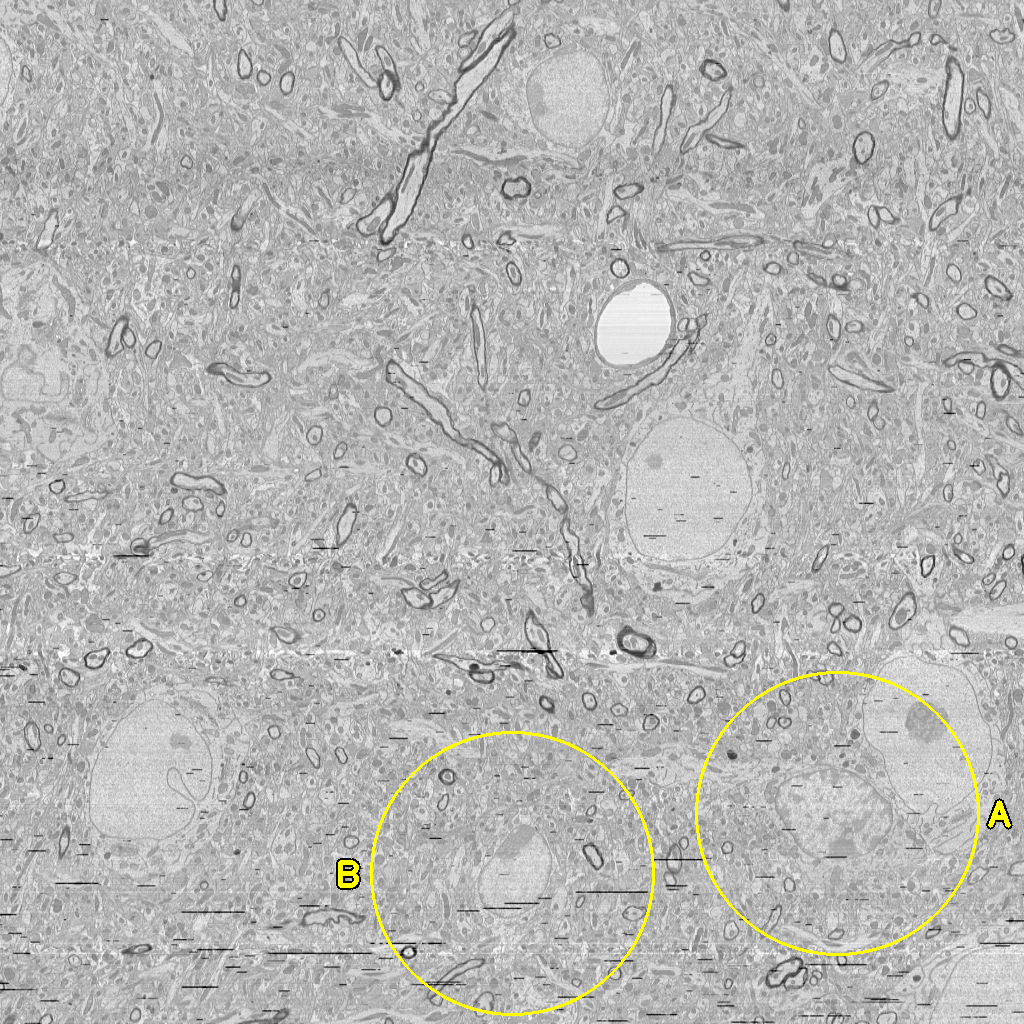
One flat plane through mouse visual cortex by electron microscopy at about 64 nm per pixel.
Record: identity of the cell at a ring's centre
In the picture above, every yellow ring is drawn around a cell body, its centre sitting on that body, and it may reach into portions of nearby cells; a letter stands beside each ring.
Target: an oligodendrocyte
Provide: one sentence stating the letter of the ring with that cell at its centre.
The letter of the ring centred on a cell of that kind is A.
